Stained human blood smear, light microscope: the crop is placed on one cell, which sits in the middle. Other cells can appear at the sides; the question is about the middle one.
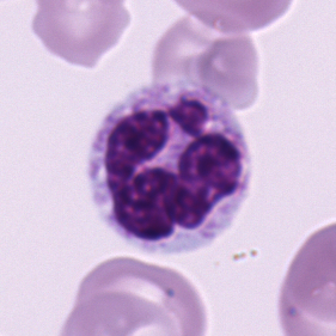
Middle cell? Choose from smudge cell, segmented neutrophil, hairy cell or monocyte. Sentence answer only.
Whatever else lies nearby, the middle cell is a segmented neutrophil.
